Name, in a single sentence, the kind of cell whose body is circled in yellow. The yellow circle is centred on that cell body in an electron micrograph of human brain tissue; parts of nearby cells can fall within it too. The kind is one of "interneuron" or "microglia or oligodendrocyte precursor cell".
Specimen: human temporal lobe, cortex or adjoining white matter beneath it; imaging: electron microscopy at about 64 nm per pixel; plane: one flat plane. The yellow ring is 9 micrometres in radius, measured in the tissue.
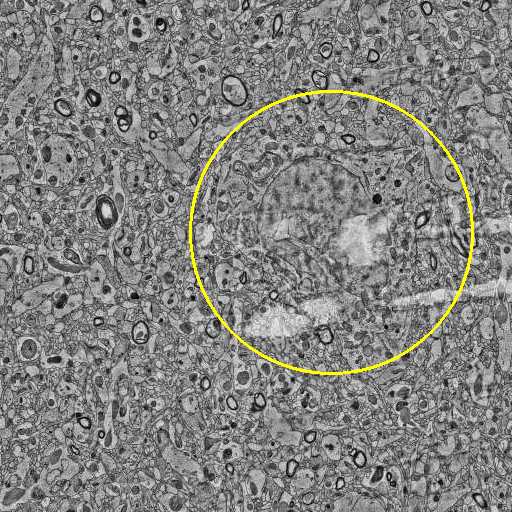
The circled cell body belongs to an interneuron.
